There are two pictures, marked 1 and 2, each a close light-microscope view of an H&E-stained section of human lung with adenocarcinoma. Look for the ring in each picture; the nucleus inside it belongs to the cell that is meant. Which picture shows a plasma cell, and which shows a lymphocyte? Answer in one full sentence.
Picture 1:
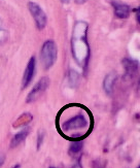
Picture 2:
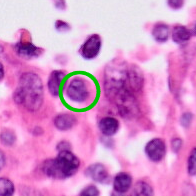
Picture 2 shows a lymphocyte, while picture 1 shows a plasma cell.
